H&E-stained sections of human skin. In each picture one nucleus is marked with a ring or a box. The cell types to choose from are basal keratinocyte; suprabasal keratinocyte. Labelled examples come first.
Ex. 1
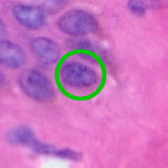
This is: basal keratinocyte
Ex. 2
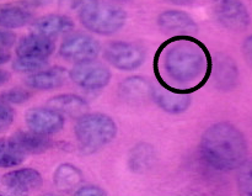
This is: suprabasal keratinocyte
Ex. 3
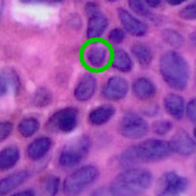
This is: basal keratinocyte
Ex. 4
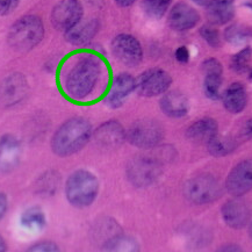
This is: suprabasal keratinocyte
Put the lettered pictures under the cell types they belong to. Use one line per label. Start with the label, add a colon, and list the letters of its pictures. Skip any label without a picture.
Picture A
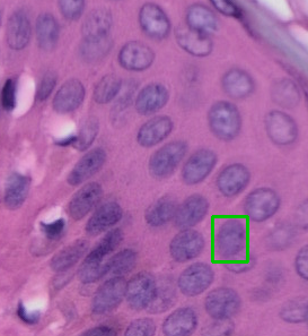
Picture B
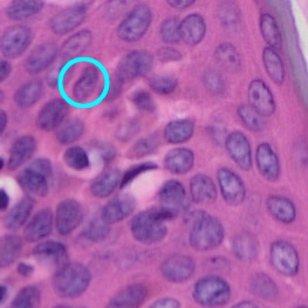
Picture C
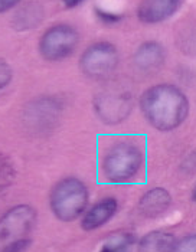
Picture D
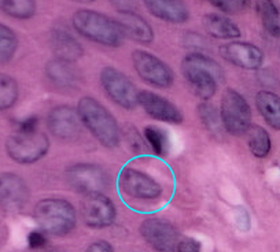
basal keratinocyte: B, D
suprabasal keratinocyte: A, C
